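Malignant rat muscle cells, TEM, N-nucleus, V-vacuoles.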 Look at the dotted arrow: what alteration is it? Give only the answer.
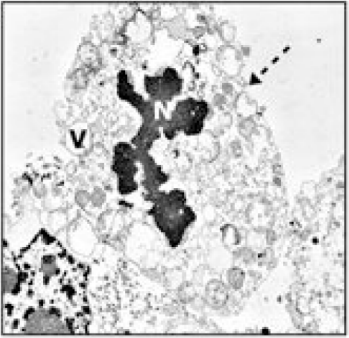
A: Cell membrane disruption.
